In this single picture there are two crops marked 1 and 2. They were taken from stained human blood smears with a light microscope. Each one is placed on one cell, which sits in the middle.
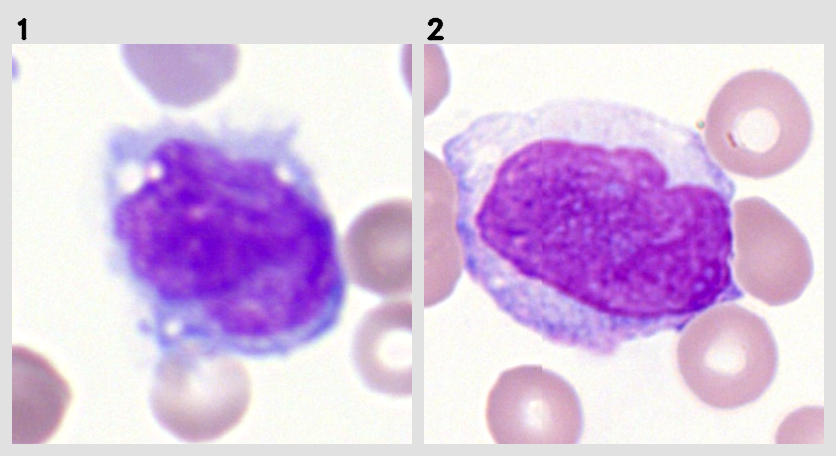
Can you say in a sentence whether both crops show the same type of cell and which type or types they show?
Yes, both crops do show monocytes in the middle.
